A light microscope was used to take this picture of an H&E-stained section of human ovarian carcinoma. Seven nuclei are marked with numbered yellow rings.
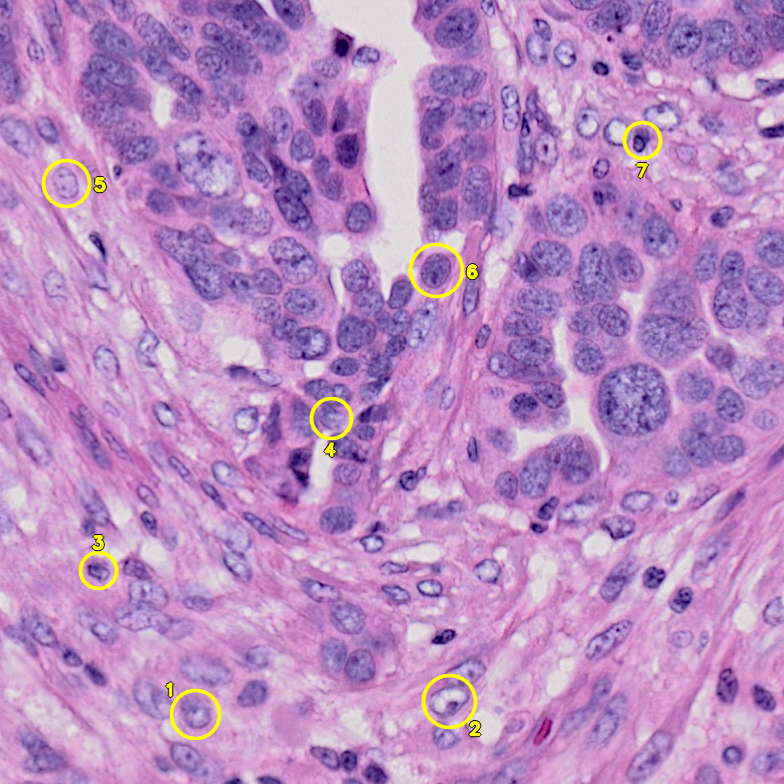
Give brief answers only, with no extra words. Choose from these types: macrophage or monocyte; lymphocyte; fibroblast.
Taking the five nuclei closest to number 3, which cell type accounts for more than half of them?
fibroblast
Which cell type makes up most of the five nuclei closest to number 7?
fibroblast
